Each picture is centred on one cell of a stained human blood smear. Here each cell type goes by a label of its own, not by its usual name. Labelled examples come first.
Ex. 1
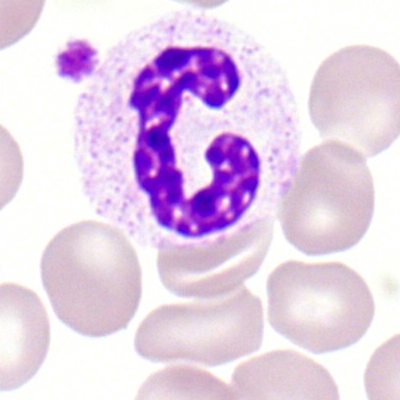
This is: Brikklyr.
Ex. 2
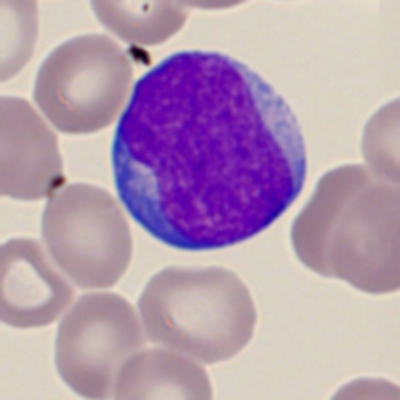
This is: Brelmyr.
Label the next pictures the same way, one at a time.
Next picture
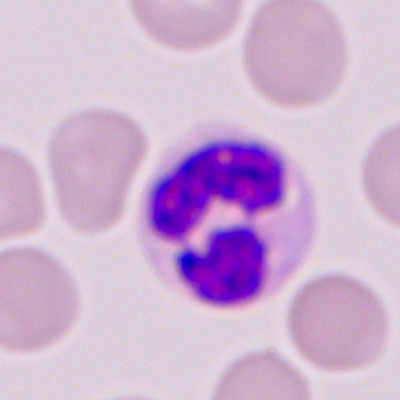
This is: Brikklyr.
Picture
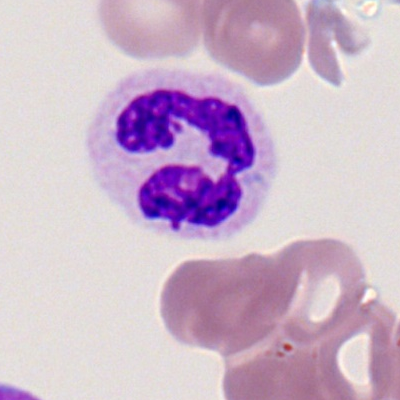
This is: Brikklyr.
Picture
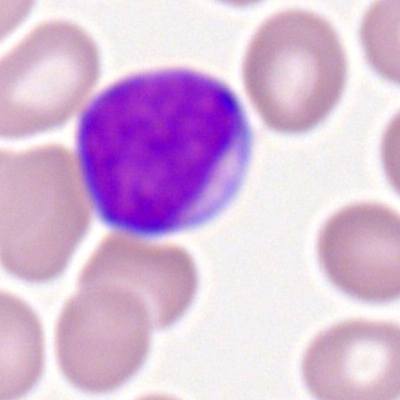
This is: Brelmyr.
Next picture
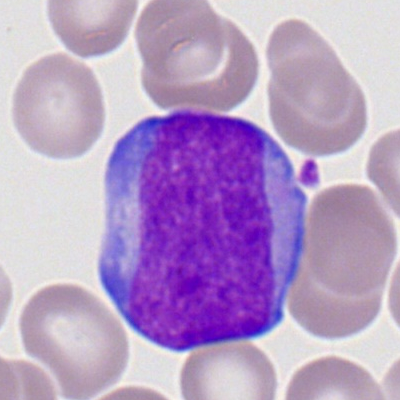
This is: Brelmyr.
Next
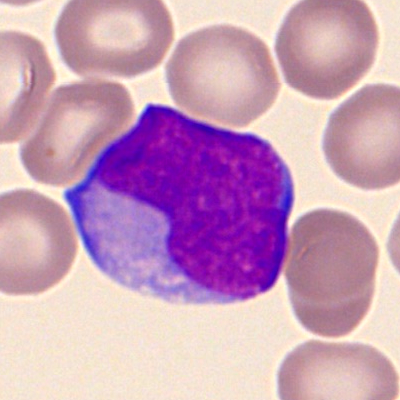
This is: Brelmyr.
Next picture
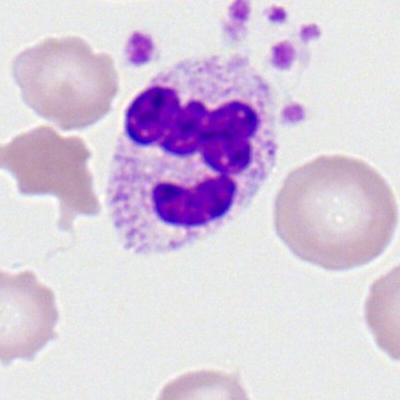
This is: Brikklyr.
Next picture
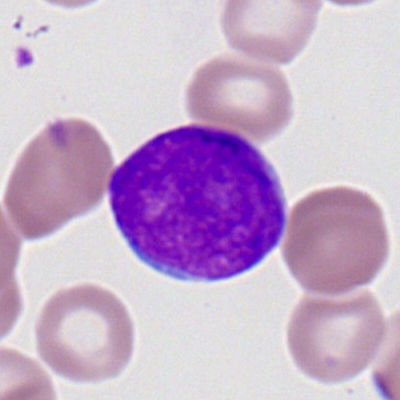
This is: Brelmyr.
